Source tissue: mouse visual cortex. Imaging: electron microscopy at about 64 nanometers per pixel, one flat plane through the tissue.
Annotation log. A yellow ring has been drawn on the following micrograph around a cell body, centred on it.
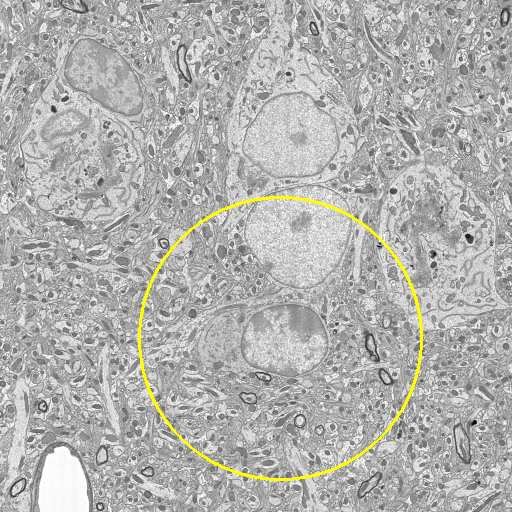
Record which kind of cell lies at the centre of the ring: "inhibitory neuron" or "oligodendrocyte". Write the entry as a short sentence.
The cell the ring is centred on is an oligodendrocyte.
